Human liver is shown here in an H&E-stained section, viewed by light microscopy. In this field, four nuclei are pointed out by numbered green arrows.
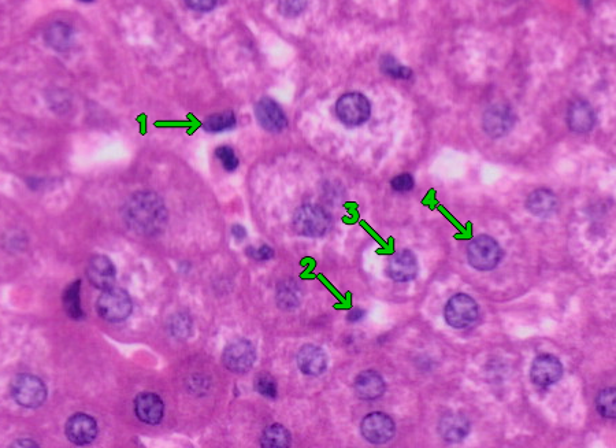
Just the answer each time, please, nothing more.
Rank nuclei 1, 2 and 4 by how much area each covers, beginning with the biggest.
4, 1, 2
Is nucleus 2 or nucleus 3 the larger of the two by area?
3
